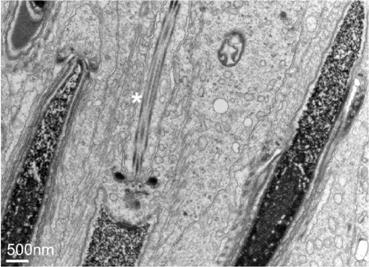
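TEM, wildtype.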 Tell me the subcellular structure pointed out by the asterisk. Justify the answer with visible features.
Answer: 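Microtubules. The asterisk lies on a bundle of fine parallel straight lines. The lines run lengthwise from the base of a dark condensed head.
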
